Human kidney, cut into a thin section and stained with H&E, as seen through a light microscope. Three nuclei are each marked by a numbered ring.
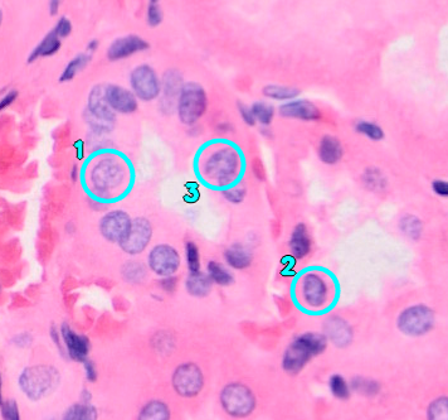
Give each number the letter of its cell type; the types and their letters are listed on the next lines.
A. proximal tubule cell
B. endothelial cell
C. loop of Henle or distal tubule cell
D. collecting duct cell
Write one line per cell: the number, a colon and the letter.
1: D
2: C
3: D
